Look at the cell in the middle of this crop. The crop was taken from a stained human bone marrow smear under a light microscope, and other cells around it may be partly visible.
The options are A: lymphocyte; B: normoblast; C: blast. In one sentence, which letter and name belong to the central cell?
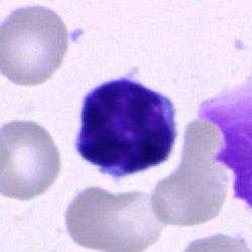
The centrally positioned cell is a lymphocyte, consistent with option A, which is correct.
